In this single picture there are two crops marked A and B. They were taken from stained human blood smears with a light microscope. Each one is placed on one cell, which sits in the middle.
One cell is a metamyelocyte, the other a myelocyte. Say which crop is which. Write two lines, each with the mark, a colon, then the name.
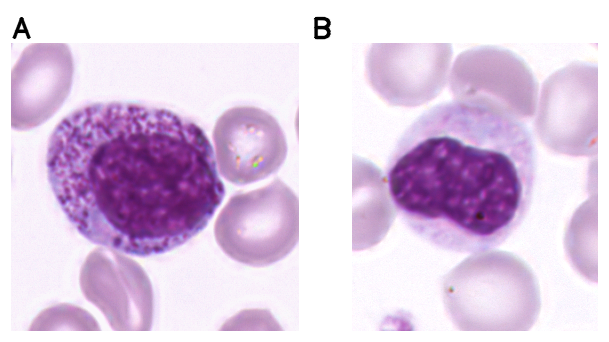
A: myelocyte
B: metamyelocyte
